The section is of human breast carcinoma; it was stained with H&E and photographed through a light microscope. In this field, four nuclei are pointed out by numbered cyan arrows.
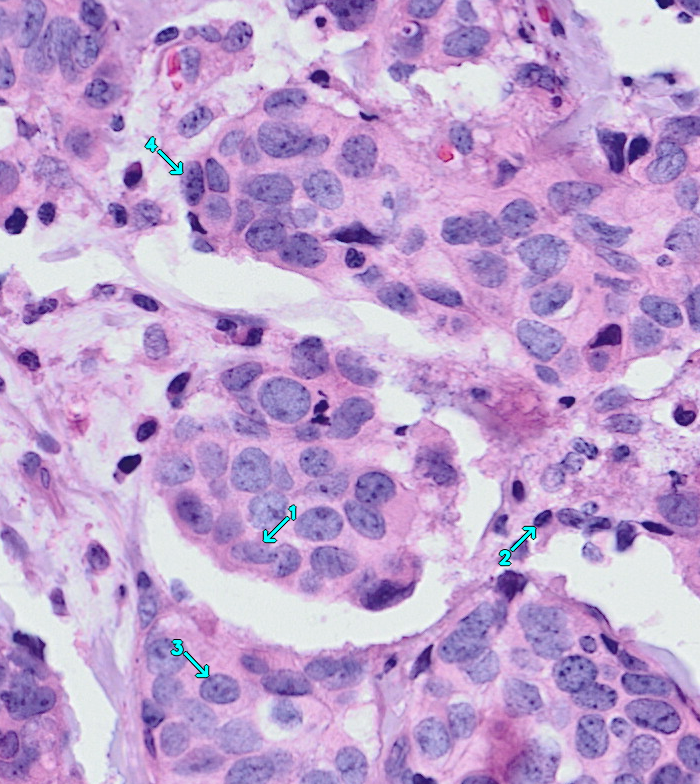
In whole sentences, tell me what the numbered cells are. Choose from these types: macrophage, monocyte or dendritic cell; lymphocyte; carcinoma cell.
Cells 1, 3 and 4 are carcinoma cells. Cell 2 is a lymphocyte.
